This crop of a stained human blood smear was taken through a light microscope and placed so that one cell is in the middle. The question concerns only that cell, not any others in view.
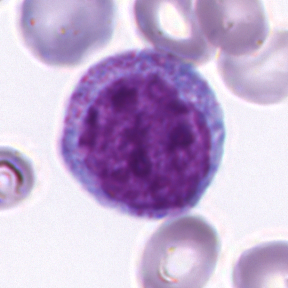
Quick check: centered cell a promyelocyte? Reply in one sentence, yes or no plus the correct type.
Yes, the cell centred in the field of view is a promyelocyte.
